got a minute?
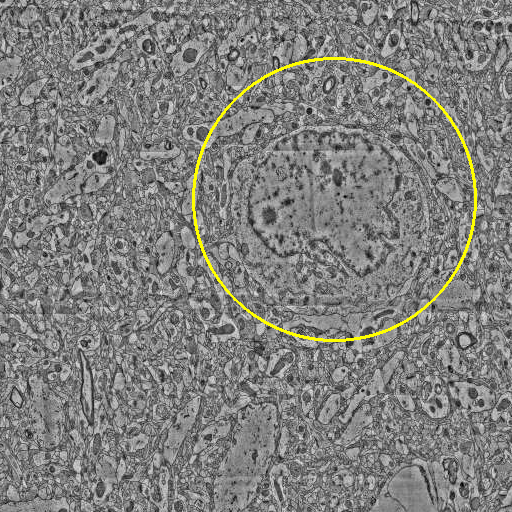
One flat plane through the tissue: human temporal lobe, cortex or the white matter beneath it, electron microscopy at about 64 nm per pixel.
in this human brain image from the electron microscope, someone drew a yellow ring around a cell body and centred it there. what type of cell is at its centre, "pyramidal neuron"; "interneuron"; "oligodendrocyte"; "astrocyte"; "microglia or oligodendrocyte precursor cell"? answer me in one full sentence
It's an interneuron at the middle of that yellow ring in the shot.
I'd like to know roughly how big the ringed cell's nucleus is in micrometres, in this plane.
About 10 micrometres across, as seen in this plane.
